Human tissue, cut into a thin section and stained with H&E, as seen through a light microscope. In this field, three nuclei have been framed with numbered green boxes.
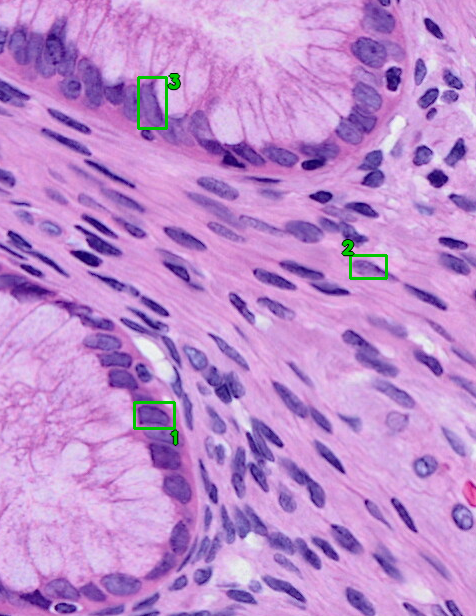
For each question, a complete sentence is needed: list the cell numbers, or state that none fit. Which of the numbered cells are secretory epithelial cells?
Here, the cells that carry numbers 1 and 3 are secretory epithelial cells.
